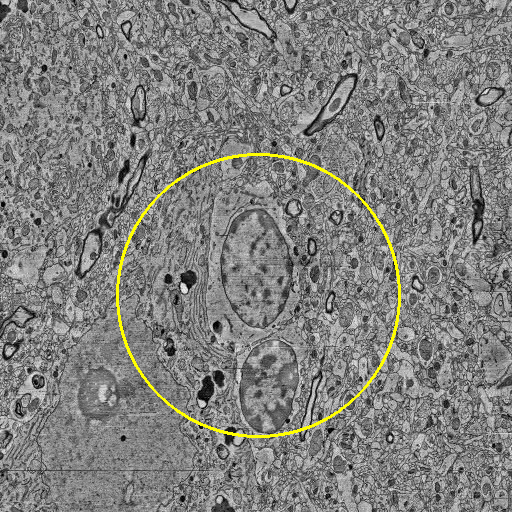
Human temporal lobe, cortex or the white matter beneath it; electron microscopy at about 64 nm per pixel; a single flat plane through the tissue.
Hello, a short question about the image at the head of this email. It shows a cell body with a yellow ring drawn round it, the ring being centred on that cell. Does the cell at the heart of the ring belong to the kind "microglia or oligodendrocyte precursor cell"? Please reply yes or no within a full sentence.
Yes, the cell at the heart of the ring in that image is of that kind.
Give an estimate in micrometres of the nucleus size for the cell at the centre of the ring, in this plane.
Approximately 8 micrometres long and 4 micrometres wide, so clearly longer than it is wide in this plane.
